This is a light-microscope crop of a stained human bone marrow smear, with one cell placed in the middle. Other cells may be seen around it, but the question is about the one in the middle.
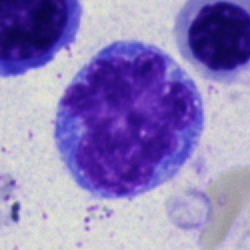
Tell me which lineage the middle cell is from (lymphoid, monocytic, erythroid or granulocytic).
monocytic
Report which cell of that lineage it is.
monocyte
